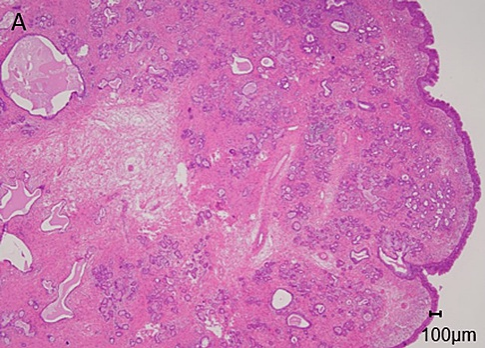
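At low power this lesion is covered along its right surface by a thin layer of respiratory epithelium. The stroma beneath is pale pink and, in the centre, loose and poorly cellular. Many small gland clusters and scattered dilated spaces lie in this stroma, some containing pale pink material.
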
